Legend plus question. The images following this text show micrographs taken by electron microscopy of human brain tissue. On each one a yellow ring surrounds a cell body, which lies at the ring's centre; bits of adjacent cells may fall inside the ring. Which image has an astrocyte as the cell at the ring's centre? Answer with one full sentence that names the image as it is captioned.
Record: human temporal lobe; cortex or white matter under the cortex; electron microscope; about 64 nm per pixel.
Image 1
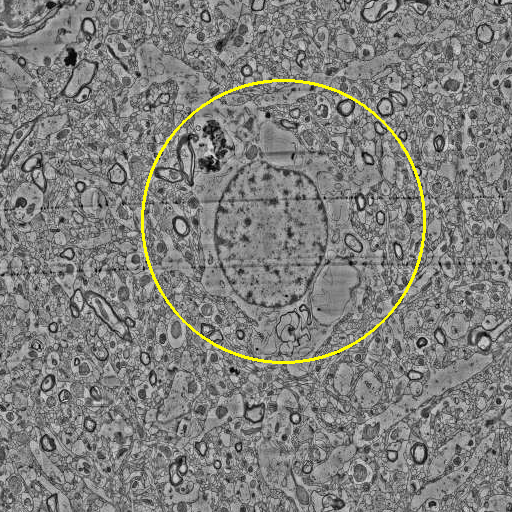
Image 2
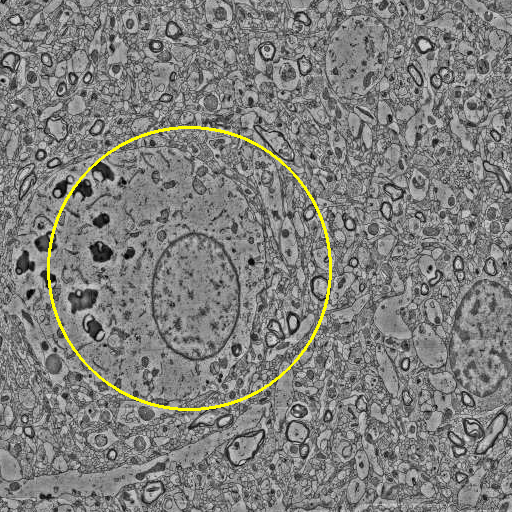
The centred cell that was asked for is the one in Image 1.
